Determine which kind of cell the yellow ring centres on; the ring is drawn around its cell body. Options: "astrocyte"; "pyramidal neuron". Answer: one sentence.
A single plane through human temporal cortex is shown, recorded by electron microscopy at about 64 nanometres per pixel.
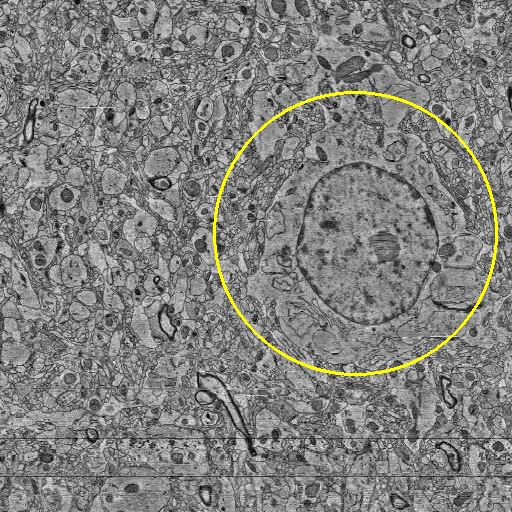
The ring centres on an astrocyte.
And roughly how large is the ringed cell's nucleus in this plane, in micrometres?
In this plane, the nucleus is roughly 11 by 9 micrometres.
